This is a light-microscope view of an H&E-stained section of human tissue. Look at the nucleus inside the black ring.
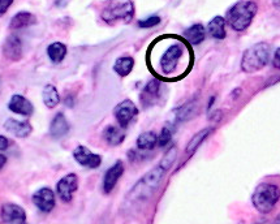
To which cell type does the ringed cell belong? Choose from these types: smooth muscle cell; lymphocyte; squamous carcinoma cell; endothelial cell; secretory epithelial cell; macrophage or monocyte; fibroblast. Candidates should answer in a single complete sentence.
The cell type of the ringed cell is that of a lymphocyte.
